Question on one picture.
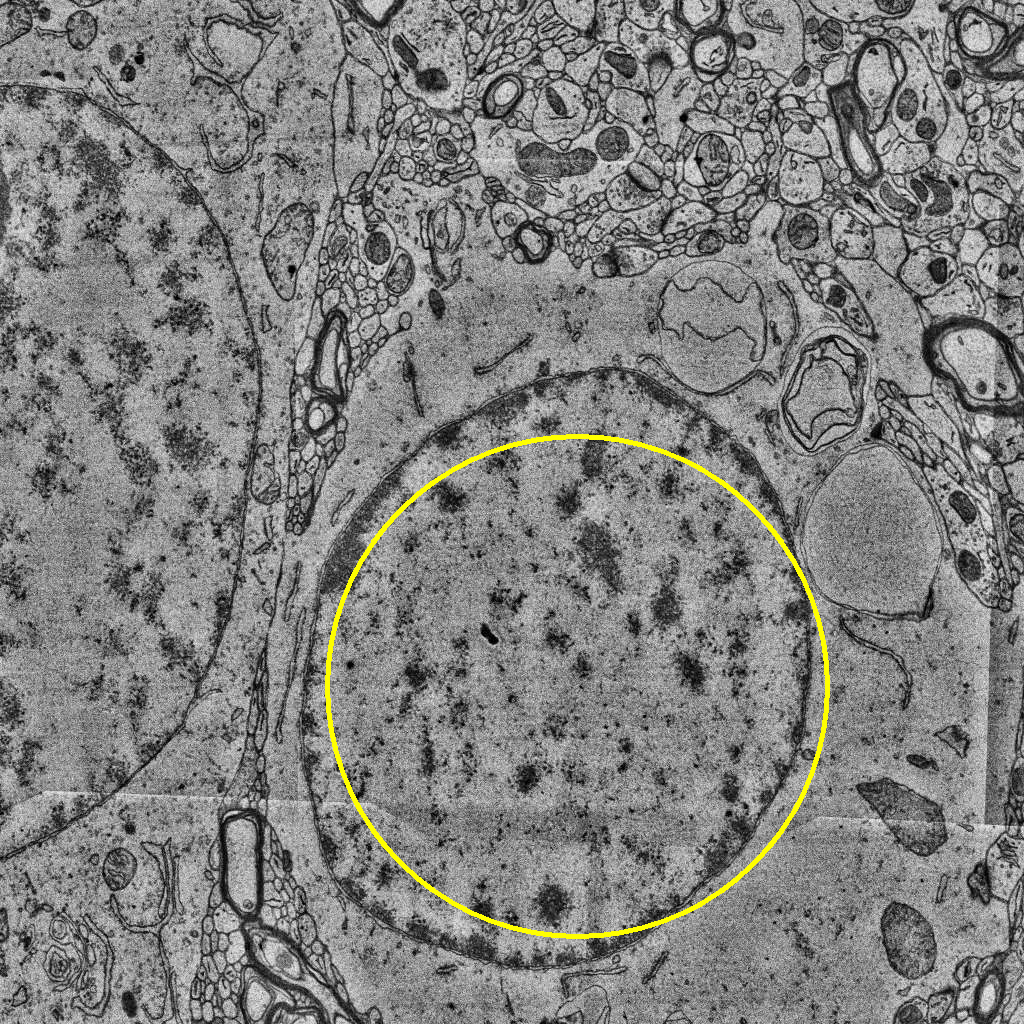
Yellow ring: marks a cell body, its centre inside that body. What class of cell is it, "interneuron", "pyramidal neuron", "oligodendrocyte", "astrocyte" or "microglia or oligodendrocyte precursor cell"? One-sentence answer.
This is an astrocyte, the cell at the ring's centre.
